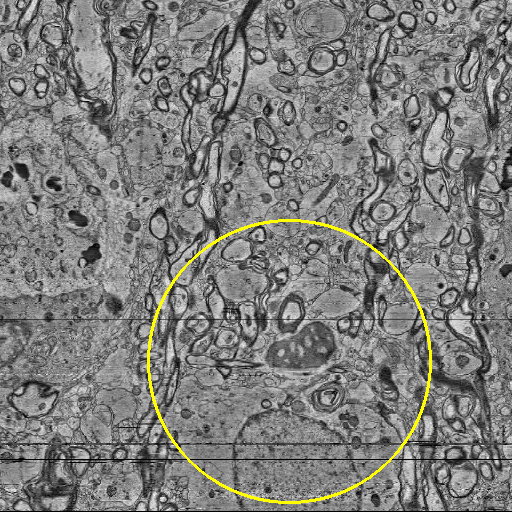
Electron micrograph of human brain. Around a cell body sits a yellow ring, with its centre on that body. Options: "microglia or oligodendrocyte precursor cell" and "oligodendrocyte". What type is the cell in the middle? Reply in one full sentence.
The cell sitting at the centre of the yellow ring is a microglial cell or oligodendrocyte precursor cell.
